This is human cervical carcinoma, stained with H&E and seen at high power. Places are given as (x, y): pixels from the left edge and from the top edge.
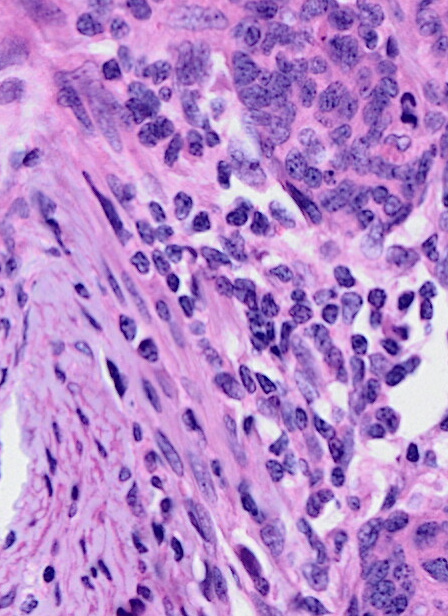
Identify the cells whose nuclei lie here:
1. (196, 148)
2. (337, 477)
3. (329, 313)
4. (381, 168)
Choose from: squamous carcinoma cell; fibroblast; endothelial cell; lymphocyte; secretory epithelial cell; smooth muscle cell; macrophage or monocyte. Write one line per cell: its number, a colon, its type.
1: lymphocyte
2: lymphocyte
3: lymphocyte
4: squamous carcinoma cell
